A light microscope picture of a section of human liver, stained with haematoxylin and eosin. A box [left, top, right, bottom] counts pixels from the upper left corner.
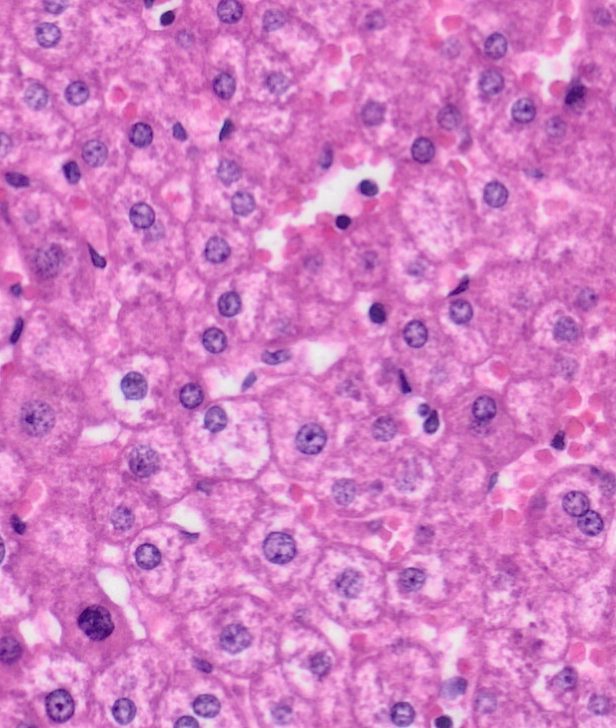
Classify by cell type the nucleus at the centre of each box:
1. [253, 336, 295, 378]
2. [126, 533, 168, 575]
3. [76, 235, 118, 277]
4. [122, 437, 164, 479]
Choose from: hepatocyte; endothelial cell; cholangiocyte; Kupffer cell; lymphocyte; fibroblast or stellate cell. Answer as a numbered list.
1. Kupffer cell
2. hepatocyte
3. endothelial cell
4. hepatocyte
